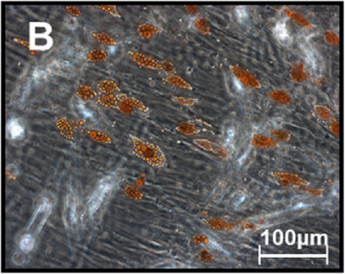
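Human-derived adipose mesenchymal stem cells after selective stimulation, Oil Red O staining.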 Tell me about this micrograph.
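A cultured layer of elongated, spindle-shaped cells lies in roughly parallel streams across the field. Scattered among them are plumper oval cells whose cytoplasm is packed with many small round orange-red globules. Some spindle cells carry no globules at all and appear pale against the background.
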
